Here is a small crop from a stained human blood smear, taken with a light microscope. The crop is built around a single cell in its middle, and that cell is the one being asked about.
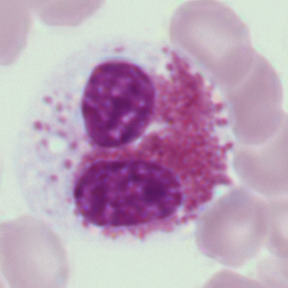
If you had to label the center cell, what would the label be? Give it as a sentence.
For this crop, the central cell is an eosinophil.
